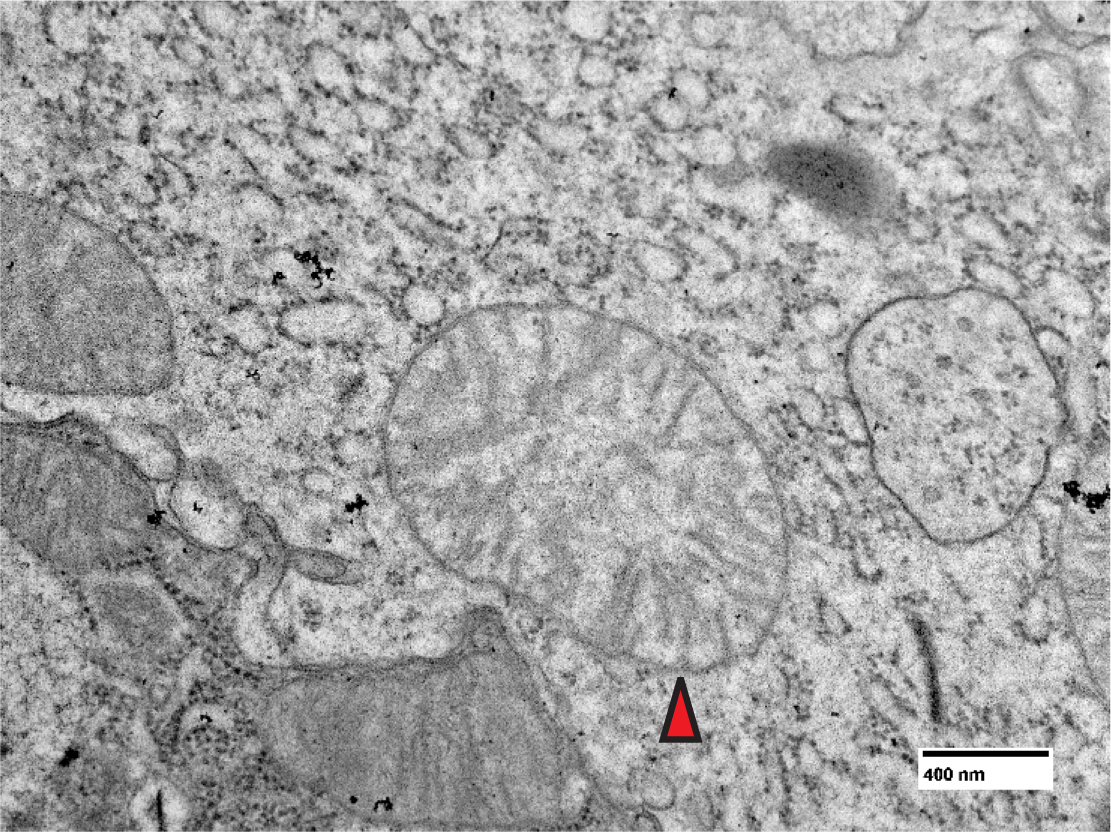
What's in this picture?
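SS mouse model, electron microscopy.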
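Electron micrograph of cytoplasm in which a large round mitochondrion shows cristae radiating inward from its rim, leaving a paler centre. The surrounding cytoplasm is pale, with scattered short and vesicular membrane profiles rather than ordered parallel stacks. Mitochondria with a denser matrix lie at the lower left.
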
